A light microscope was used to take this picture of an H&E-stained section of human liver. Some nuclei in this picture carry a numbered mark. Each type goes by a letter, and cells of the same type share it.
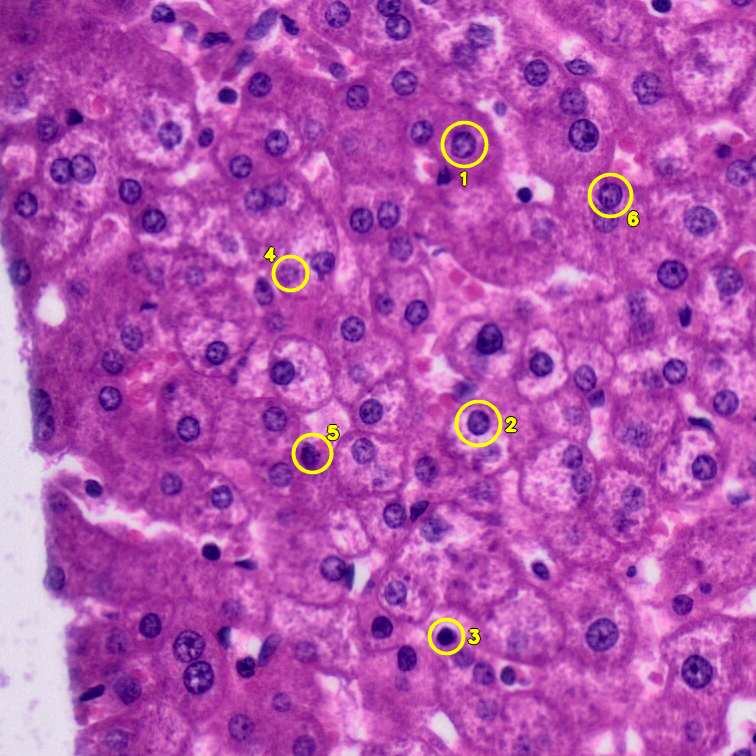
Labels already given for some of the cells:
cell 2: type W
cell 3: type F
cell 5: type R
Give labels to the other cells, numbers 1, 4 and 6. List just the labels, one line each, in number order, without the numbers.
type W
type W
type W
